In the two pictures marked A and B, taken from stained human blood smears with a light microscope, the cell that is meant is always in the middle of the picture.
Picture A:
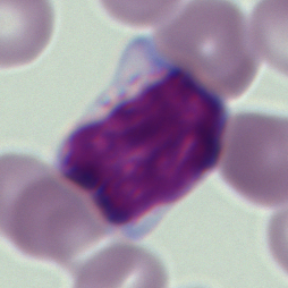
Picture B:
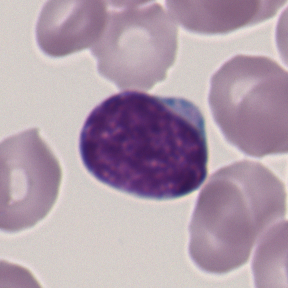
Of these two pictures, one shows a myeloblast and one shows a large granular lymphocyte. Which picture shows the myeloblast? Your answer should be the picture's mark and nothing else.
B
